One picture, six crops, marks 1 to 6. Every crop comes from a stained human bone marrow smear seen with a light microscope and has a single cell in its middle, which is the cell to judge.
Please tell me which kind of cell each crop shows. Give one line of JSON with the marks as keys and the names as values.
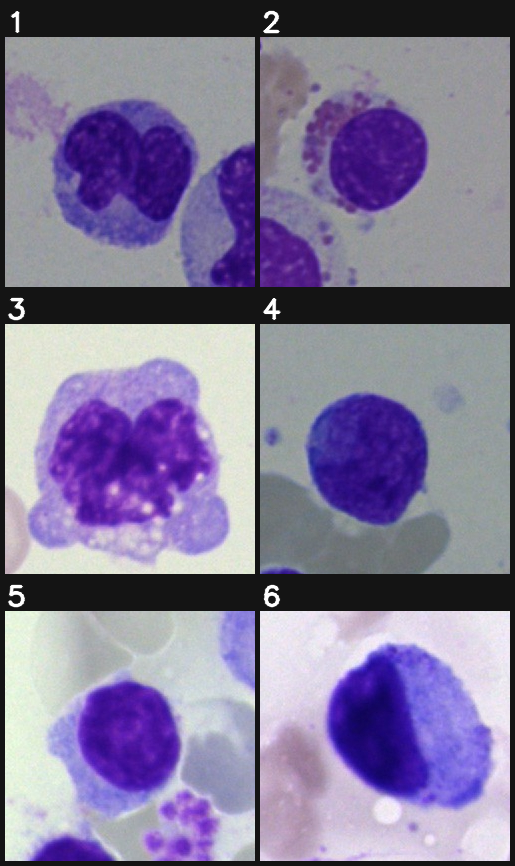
{"1": "monocyte", "2": "eosinophil", "3": "monocyte", "4": "blast", "5": "hairy cell", "6": "promyelocyte"}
